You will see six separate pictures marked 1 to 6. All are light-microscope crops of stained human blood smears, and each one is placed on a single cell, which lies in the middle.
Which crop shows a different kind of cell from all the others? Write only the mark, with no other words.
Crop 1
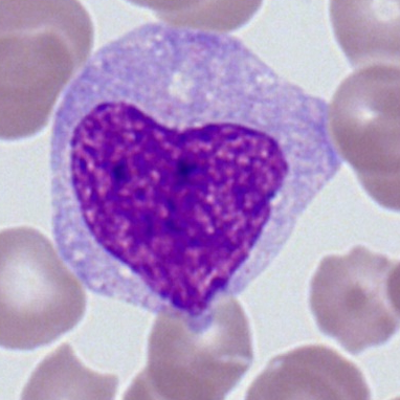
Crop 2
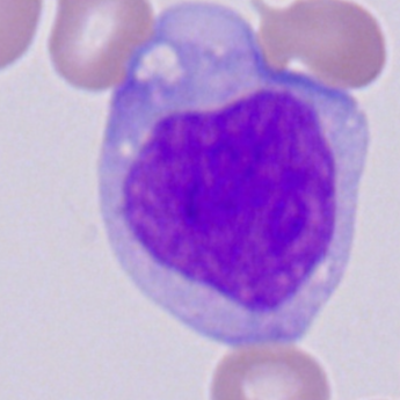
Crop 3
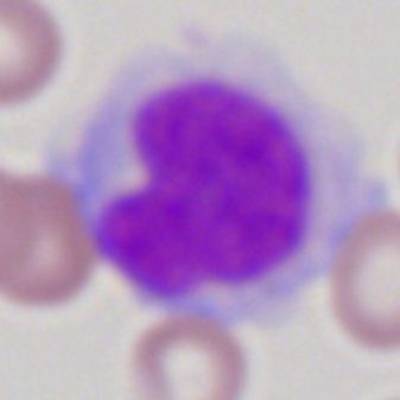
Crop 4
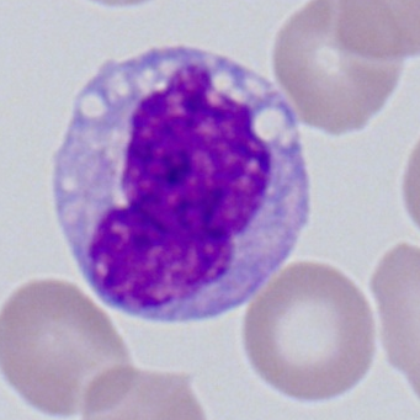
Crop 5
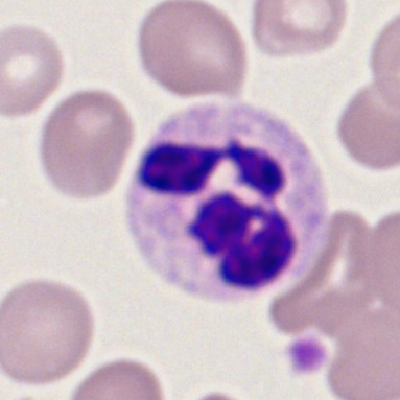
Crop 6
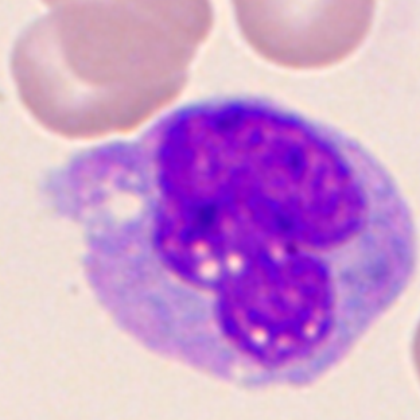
5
